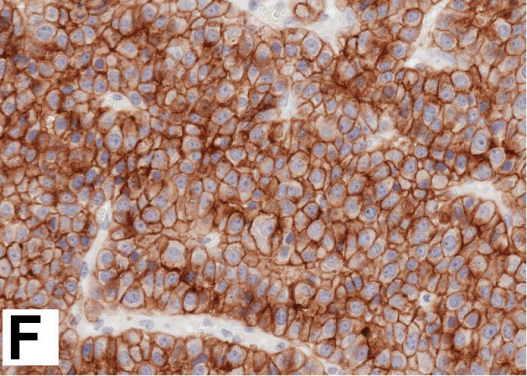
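A solid sheet of closely packed tumor cells fills the field, with membranous brown staining outlining nearly every cell. The cells are small to medium, polygonal and fairly uniform, fitting together in a honeycomb-like mosaic. Each has a round blue nucleus, often with a small nucleolus, set in pale tan cytoplasm. The sharp brown lines run along the cell borders, giving a crisp chicken-wire appearance. A few narrow slit-like spaces cross the sheet, especially near the lower edge, but there is little intervening stroma.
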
